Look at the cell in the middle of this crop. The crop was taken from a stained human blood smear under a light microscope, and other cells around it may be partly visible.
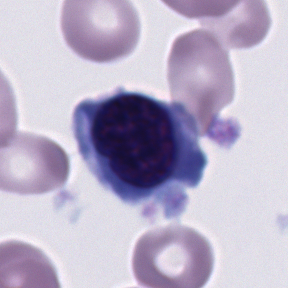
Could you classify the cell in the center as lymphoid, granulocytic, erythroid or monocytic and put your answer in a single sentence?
Within the erythroid lineage lies the cell at the center of the crop.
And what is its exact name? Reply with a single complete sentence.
The cell at the centre of the field is a normoblast.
